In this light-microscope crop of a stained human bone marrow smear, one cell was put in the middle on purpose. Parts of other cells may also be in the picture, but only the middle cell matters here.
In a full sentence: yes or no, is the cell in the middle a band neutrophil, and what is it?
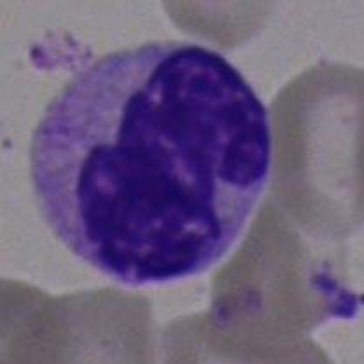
No, the cell in the middle is a segmented neutrophil, not a band neutrophil.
